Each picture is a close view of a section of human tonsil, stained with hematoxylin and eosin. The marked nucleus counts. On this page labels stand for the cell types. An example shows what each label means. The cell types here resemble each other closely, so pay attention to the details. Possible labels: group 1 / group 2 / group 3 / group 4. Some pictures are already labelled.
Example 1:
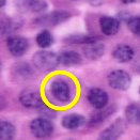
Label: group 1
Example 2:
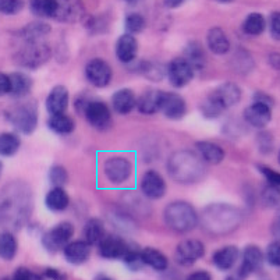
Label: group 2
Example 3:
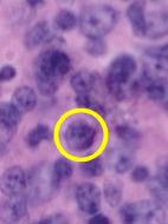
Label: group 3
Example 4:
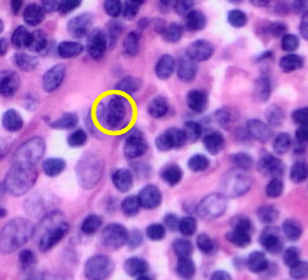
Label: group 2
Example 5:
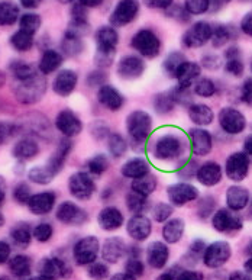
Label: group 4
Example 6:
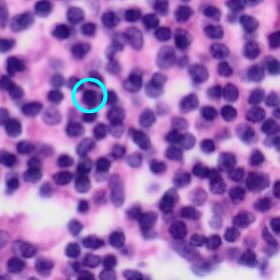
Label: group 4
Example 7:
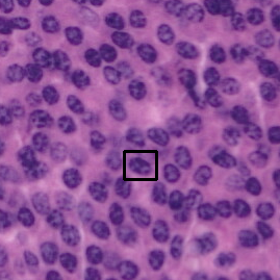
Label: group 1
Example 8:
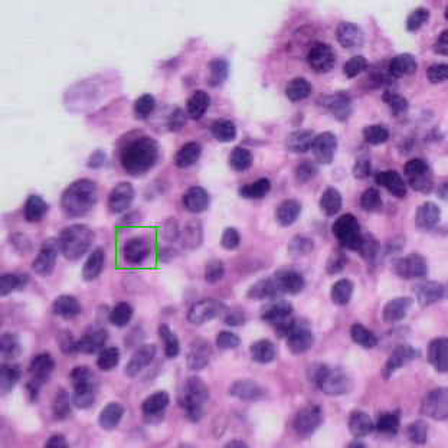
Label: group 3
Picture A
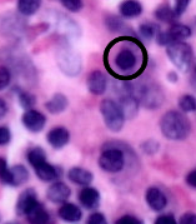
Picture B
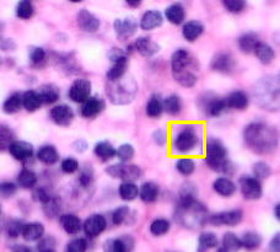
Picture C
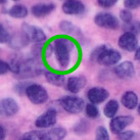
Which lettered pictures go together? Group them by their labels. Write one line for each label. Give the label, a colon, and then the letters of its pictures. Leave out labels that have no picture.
group 2: A
group 3: B
group 4: C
